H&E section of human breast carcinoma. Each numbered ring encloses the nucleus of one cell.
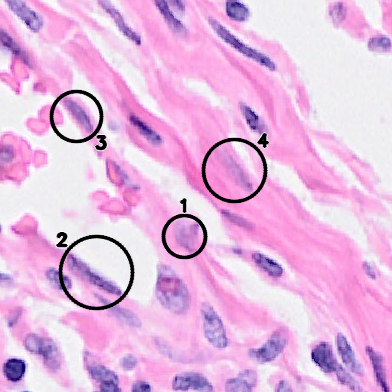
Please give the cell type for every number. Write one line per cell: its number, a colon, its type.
1: endothelial cell
2: endothelial cell
3: endothelial cell
4: fibroblast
